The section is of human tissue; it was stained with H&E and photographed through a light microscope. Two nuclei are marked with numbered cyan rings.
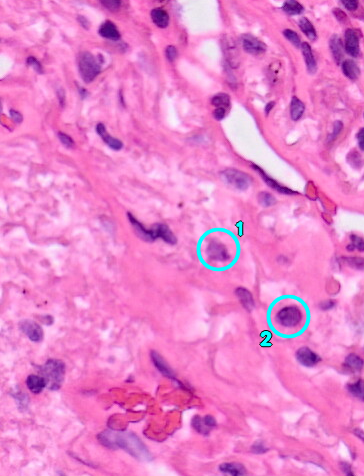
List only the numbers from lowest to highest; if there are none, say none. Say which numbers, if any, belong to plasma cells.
2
